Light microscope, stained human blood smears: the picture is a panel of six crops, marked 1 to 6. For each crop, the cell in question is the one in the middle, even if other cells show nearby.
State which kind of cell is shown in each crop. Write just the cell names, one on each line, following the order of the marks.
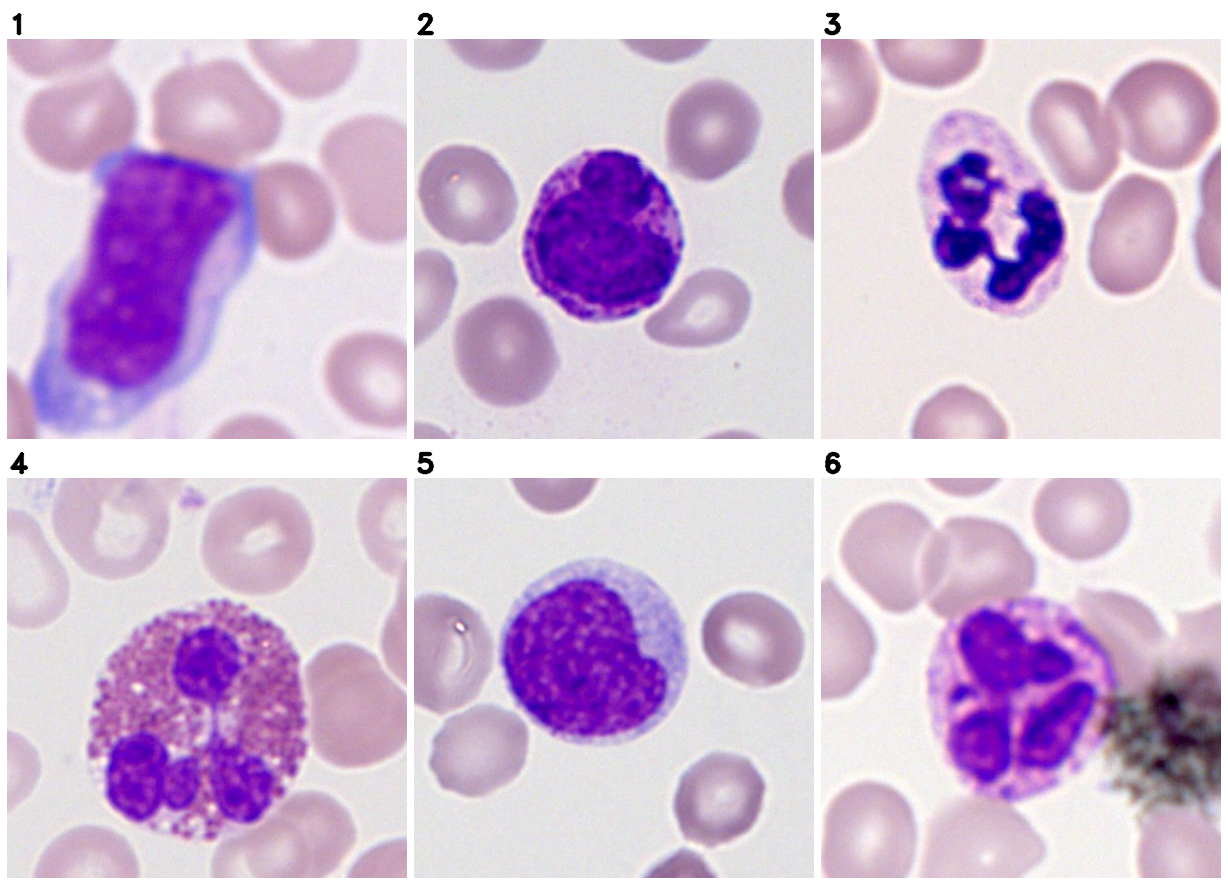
myeloblast
basophil
segmented neutrophil
eosinophil
lymphocyte
basophil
